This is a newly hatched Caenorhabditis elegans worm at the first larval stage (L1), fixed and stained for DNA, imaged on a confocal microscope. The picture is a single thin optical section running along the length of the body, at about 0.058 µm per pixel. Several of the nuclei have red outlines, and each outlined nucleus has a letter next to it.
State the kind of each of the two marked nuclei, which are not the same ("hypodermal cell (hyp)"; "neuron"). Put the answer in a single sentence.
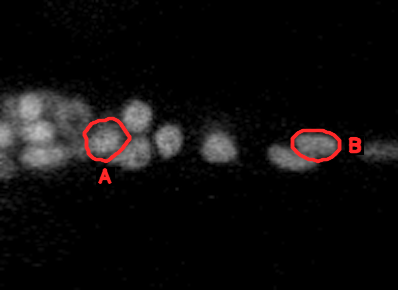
A belongs to a neuron and B to a hypodermal cell (hyp).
